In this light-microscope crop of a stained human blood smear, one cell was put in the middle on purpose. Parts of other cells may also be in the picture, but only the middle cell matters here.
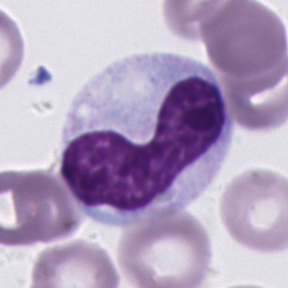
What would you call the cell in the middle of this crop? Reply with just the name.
band neutrophil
